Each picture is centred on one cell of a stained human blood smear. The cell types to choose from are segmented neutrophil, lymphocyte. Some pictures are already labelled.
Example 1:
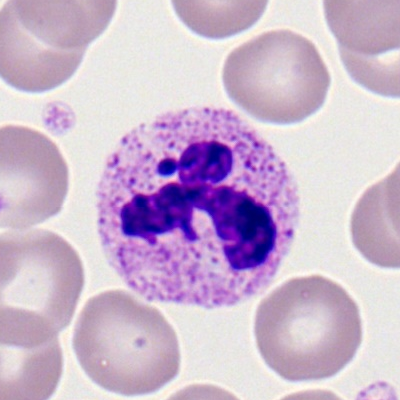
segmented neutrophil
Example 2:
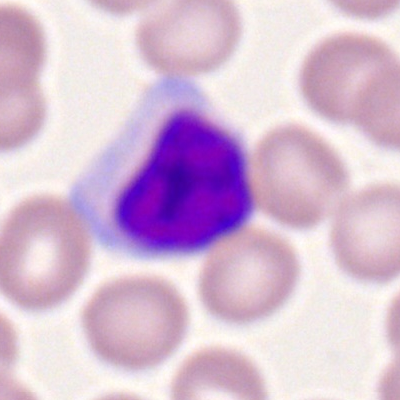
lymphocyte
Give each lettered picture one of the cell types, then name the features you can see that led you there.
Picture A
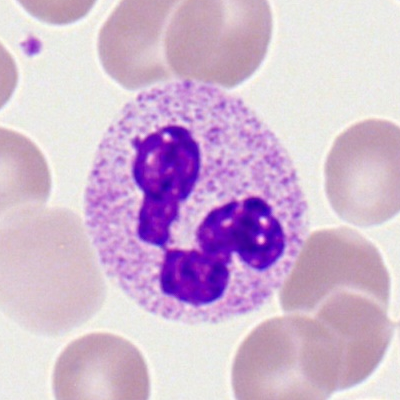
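segmented neutrophil. The cytoplasm is abundant and pale pinkish-lilac.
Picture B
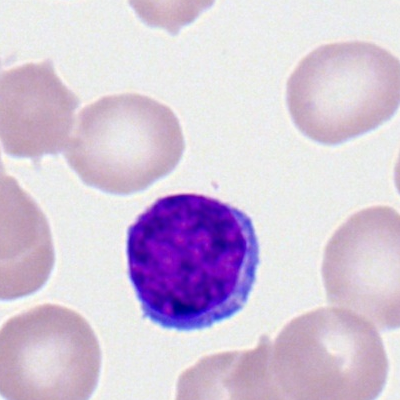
lymphocyte. The cytoplasm forms only a thin rim around the nucleus.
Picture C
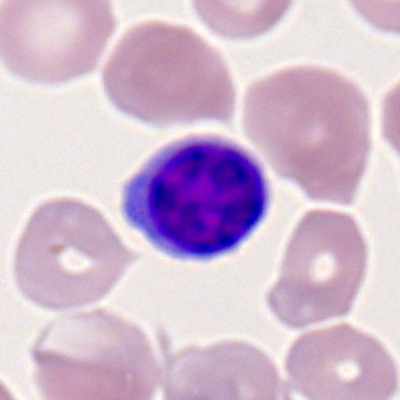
lymphocyte. The cytoplasm is a scant rim that is widest on the left side.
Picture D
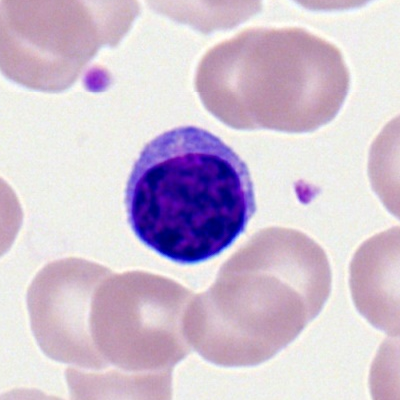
lymphocyte. The nucleus fills most of the cell.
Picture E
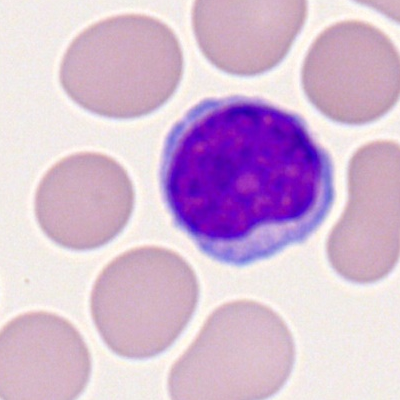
lymphocyte. The cytoplasm forms only a thin rim around the nucleus.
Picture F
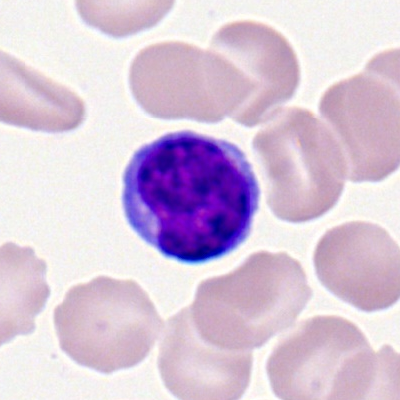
lymphocyte. The cytoplasm forms only a thin rim around the nucleus.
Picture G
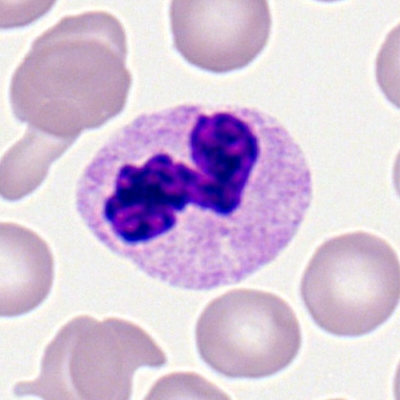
segmented neutrophil. The cytoplasm is abundant and pale pinkish-lilac.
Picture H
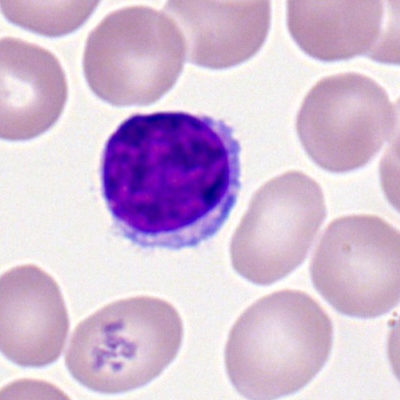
lymphocyte. The nucleus fills most of the cell.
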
